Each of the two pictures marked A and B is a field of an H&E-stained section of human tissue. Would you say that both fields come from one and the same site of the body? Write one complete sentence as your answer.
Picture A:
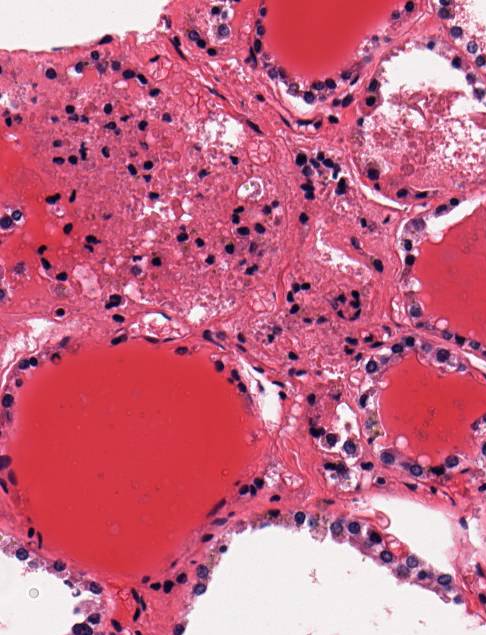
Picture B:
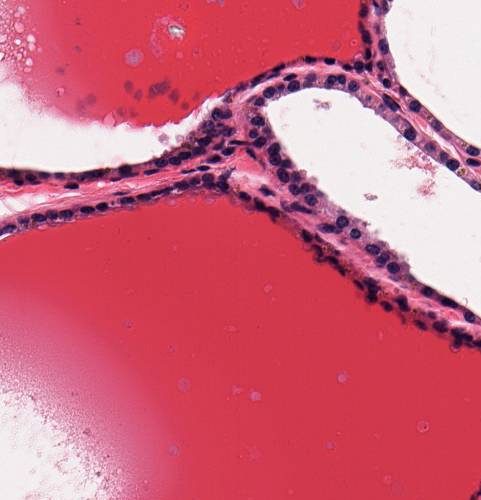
Yes, the two fields both come from the thyroid.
